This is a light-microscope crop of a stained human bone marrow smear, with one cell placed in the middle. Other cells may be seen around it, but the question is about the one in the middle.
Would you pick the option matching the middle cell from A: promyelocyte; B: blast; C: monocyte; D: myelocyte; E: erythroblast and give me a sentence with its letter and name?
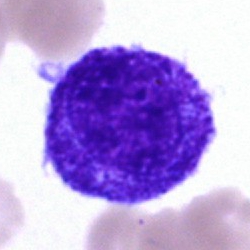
Option A correctly names the cell in the middle as a promyelocyte.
